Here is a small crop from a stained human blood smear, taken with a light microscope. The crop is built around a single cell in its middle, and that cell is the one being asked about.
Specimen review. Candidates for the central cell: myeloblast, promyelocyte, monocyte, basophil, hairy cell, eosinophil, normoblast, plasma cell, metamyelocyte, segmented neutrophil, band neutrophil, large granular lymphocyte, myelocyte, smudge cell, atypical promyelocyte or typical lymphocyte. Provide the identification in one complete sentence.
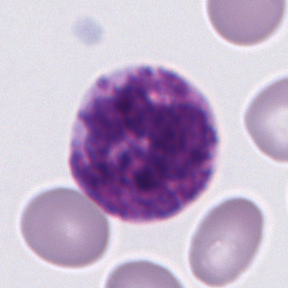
In the middle of this smear crop is a basophil.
